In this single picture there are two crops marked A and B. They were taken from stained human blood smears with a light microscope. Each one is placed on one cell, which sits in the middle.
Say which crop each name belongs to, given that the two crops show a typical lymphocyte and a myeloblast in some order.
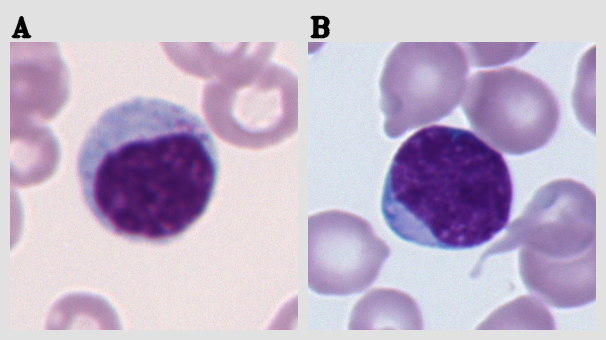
A: typical lymphocyte
B: myeloblast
